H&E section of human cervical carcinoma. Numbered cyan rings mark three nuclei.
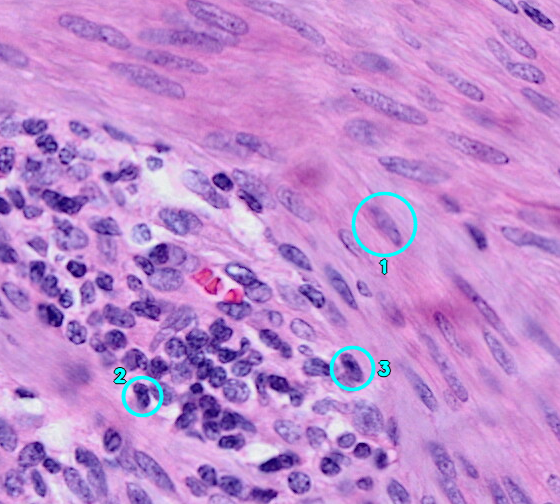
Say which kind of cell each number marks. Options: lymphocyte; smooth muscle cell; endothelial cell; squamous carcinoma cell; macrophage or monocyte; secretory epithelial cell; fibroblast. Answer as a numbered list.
1. smooth muscle cell
2. lymphocyte
3. lymphocyte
